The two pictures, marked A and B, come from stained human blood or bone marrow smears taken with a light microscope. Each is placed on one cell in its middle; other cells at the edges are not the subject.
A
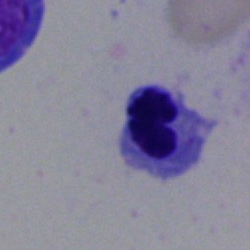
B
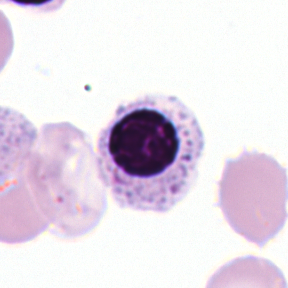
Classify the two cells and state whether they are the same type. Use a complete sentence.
Yes, in both crops, erythroblasts are the cells at the middle.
